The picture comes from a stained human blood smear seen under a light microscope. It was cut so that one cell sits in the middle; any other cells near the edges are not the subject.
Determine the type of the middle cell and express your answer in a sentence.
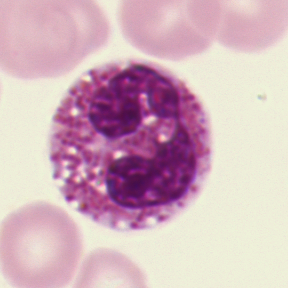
By type, the central cell of the crop is an eosinophil.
